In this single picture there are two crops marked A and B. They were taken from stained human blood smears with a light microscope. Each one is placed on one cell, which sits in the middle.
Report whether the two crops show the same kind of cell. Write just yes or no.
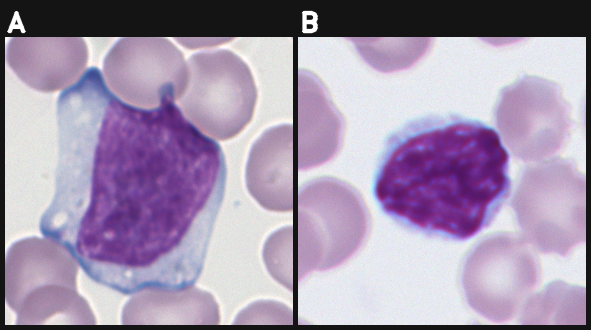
no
